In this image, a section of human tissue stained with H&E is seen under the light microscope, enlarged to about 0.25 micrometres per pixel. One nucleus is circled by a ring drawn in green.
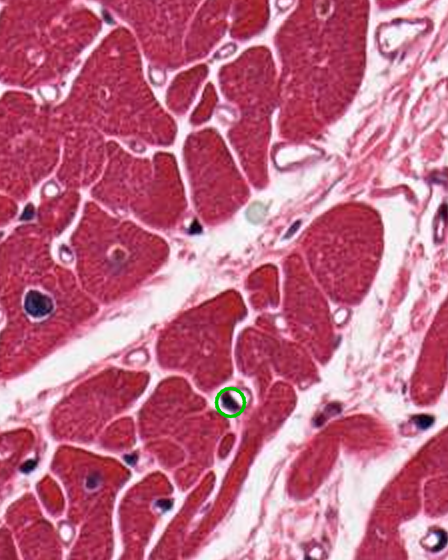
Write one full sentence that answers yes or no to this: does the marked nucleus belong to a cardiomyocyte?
No, the marked nucleus does not form part of a cardiomyocyte, being part of a supporting cell.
